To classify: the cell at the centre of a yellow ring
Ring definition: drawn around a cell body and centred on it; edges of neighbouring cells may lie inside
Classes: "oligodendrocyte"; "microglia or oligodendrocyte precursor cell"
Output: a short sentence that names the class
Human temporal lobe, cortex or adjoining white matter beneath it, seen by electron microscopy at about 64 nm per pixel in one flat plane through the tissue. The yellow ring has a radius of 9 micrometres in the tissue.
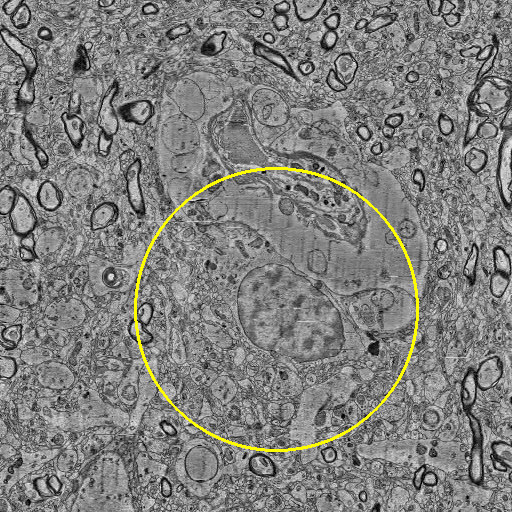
The ringed cell is an oligodendrocyte.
